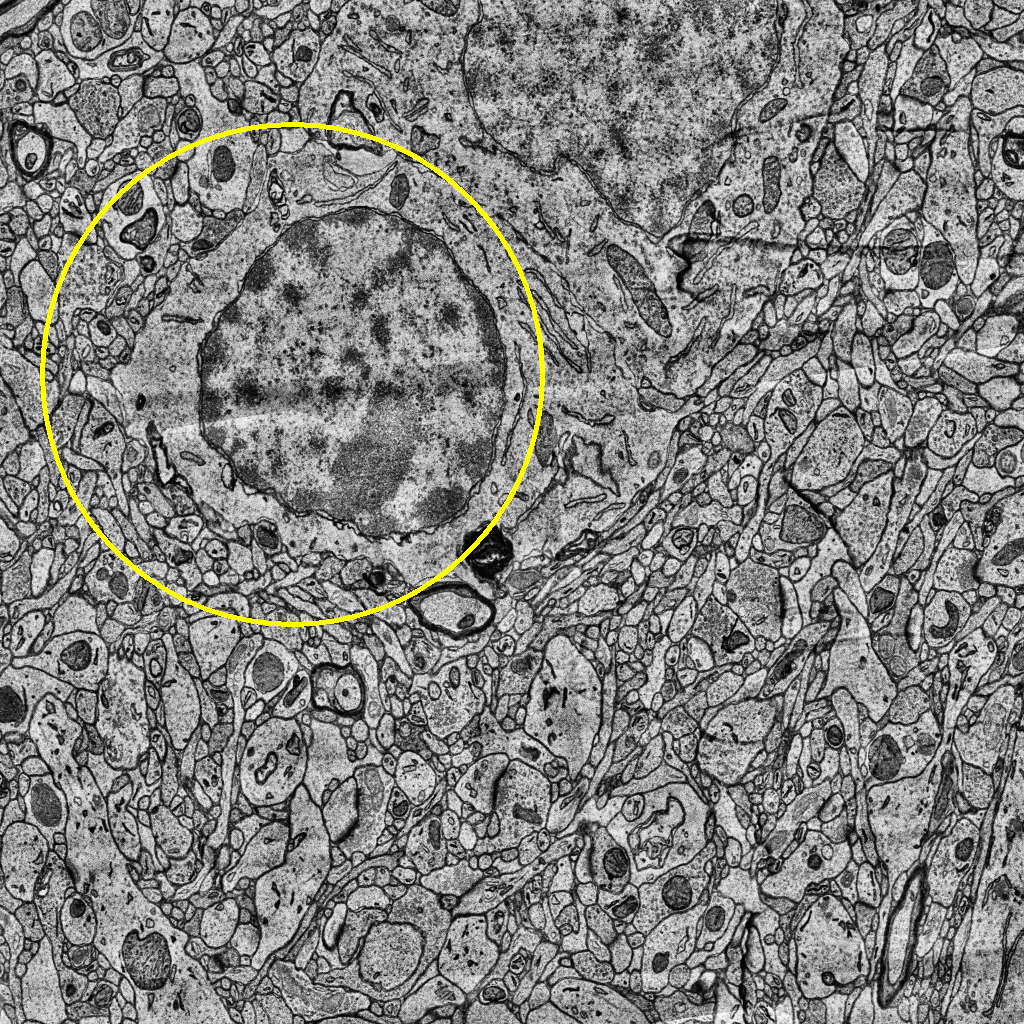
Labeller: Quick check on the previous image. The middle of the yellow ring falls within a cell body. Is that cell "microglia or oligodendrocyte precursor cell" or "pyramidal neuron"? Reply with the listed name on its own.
microglia or oligodendrocyte precursor cell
